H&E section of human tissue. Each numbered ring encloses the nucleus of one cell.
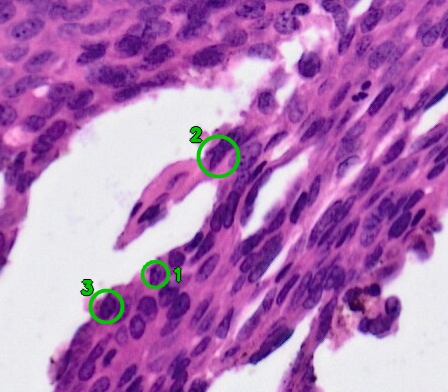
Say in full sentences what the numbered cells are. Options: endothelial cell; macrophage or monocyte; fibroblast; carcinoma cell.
Cell 1 is a macrophage or monocyte, cell 2 is a carcinoma cell and cell 3 is a carcinoma cell.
